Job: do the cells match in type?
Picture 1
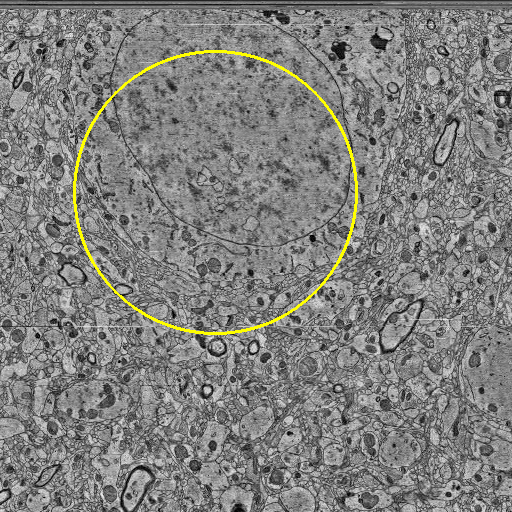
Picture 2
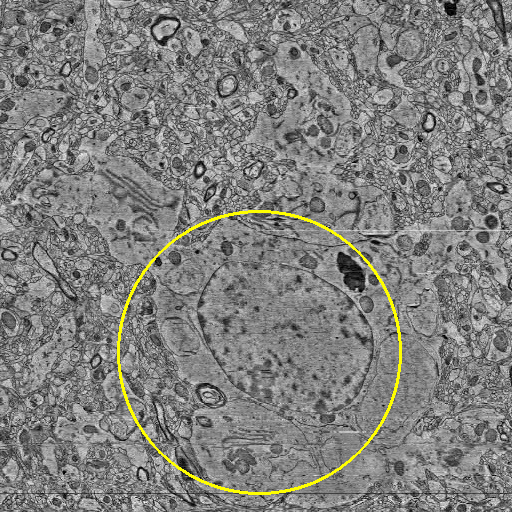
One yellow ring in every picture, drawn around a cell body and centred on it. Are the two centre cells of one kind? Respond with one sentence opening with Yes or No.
No, the ringed cells in the two pictures are of two separate kinds.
